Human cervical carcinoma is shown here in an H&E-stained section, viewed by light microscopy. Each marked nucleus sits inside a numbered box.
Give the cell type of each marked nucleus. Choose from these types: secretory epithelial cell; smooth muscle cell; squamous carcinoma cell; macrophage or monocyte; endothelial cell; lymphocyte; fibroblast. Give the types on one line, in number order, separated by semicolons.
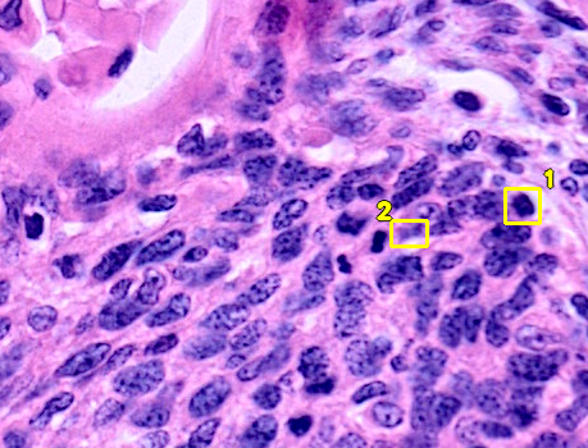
lymphocyte; squamous carcinoma cell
